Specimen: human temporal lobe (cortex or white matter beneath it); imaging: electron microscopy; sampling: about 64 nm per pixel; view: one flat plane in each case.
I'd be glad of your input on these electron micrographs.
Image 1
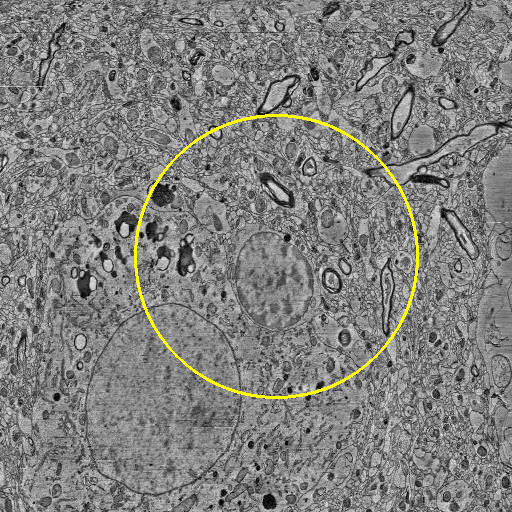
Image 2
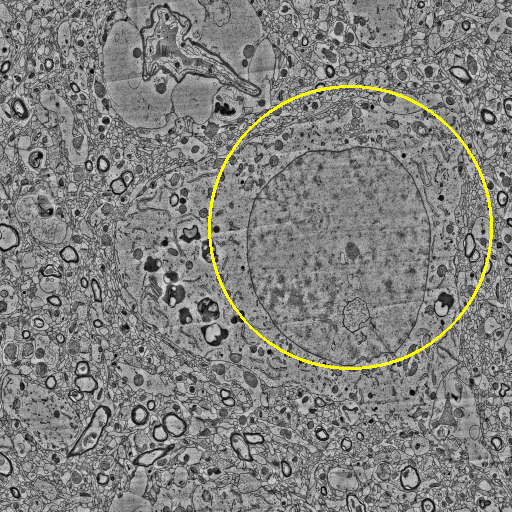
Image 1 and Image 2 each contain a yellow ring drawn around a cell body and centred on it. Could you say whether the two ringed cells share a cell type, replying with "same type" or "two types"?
two types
